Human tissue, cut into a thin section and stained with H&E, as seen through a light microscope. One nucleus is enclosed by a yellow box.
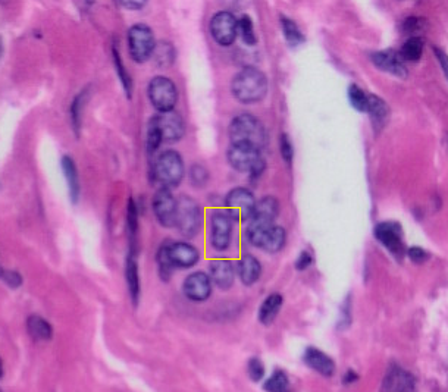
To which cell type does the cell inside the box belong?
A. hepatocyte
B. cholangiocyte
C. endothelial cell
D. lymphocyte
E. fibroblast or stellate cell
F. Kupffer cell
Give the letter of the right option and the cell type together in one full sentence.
That the cell inside the box is a cholangiocyte makes option B the correct choice.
